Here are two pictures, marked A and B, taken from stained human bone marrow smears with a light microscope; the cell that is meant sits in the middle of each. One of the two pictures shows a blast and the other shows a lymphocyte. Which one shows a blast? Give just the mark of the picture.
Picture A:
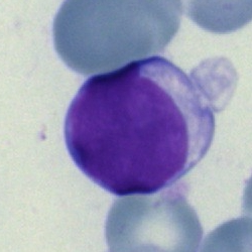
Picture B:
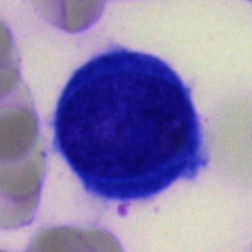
B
